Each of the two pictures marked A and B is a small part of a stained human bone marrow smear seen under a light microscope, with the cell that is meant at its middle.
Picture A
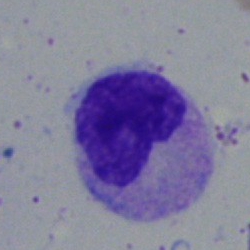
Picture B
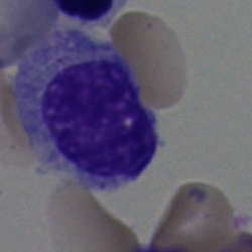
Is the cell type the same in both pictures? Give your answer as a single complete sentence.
No, the types are not the same, since picture A shows a metamyelocyte and picture B a myelocyte.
